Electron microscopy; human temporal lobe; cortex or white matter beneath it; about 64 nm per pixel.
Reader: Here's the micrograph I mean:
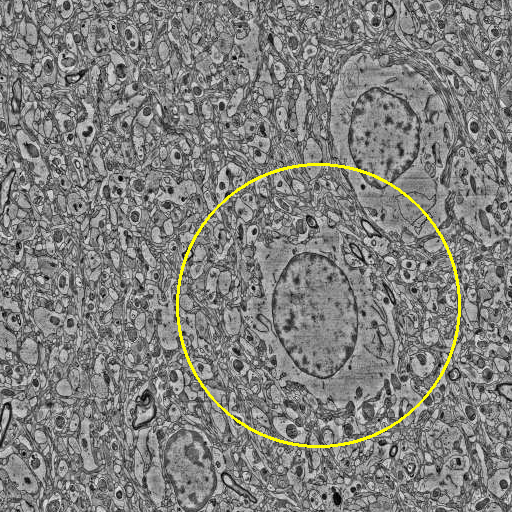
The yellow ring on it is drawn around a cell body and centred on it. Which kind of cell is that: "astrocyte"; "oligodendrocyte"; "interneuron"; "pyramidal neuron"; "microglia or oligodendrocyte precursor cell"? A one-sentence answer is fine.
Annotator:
The ring is centred on an astrocyte.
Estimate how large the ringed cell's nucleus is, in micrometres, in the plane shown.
In this plane, roughly 8 by 5 micrometres.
